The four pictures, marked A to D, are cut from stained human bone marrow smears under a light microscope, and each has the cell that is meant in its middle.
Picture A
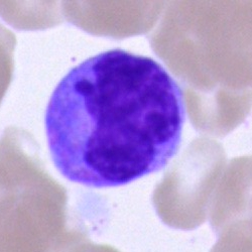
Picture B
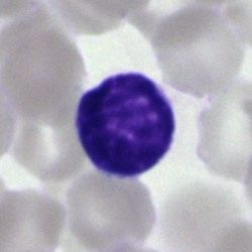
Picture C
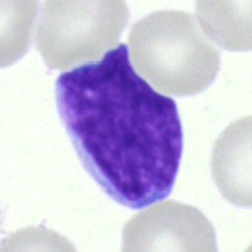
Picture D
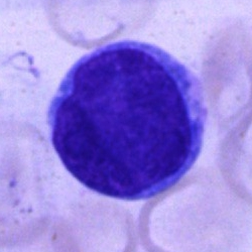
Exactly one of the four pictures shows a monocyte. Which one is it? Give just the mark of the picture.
A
